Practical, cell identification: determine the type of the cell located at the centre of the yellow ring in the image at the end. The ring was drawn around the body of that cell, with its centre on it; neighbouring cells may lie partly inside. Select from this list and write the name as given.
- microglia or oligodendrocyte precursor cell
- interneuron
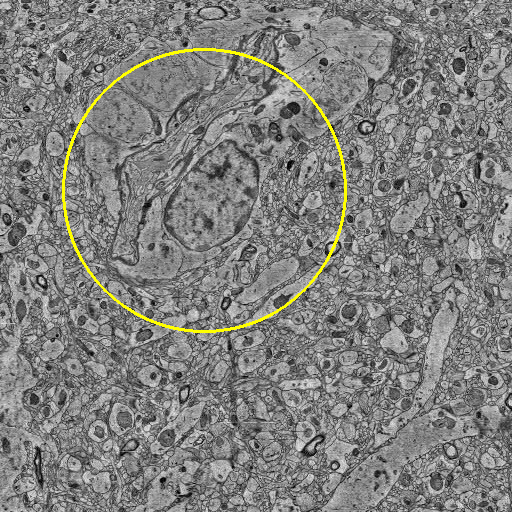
microglia or oligodendrocyte precursor cell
